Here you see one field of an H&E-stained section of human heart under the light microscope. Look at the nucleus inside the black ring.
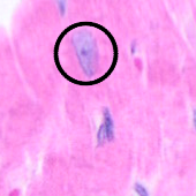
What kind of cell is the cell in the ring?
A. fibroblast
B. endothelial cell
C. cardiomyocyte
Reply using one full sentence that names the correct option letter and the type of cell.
In this item, the cell in the ring is a cardiomyocyte, and option C is right.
